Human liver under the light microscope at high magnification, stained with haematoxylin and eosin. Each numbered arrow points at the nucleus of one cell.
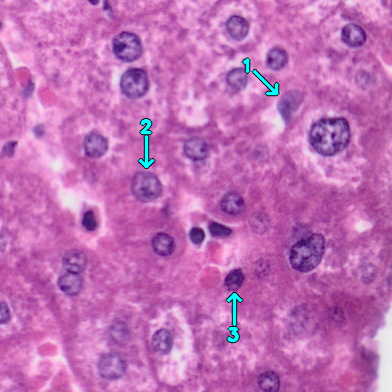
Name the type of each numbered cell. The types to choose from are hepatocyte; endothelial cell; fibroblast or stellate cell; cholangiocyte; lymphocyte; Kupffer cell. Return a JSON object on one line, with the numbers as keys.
{"1": "endothelial cell", "2": "hepatocyte", "3": "fibroblast or stellate cell"}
